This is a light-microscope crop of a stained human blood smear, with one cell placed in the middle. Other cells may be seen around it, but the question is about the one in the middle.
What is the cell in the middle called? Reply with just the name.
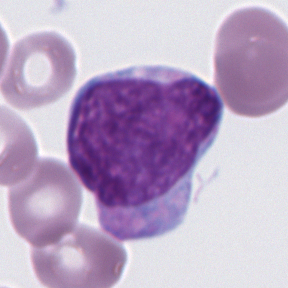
atypical promyelocyte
